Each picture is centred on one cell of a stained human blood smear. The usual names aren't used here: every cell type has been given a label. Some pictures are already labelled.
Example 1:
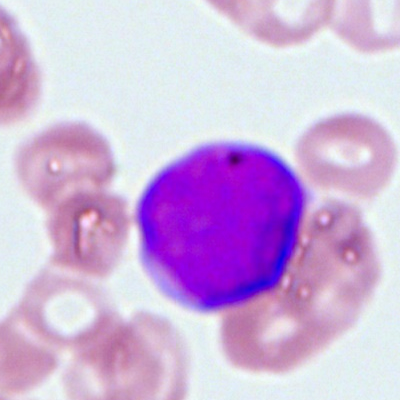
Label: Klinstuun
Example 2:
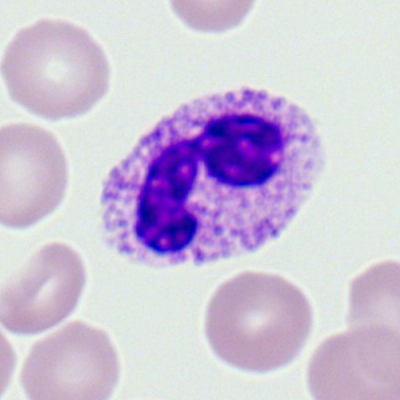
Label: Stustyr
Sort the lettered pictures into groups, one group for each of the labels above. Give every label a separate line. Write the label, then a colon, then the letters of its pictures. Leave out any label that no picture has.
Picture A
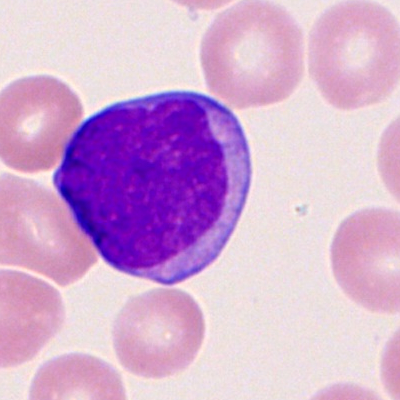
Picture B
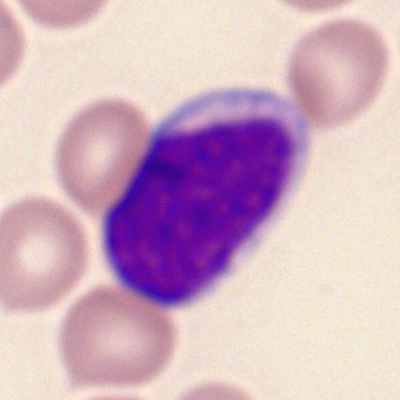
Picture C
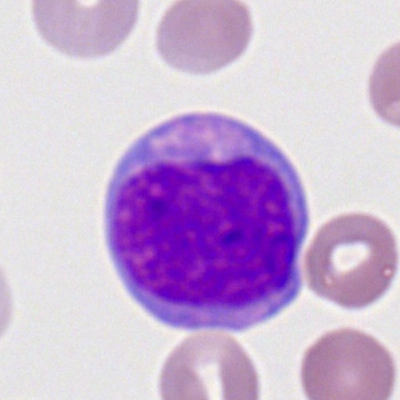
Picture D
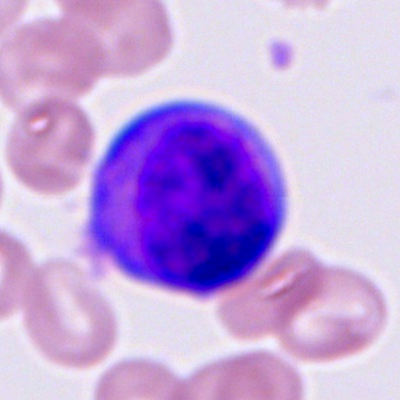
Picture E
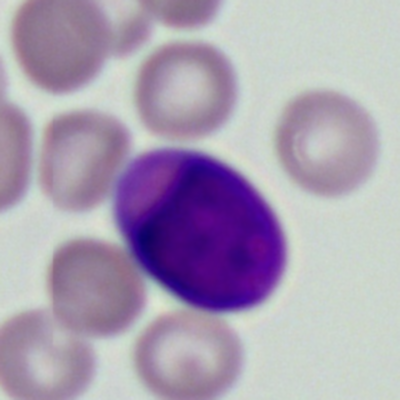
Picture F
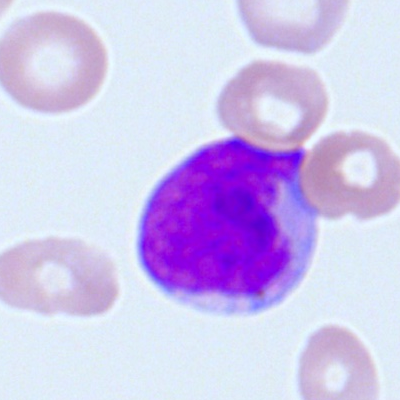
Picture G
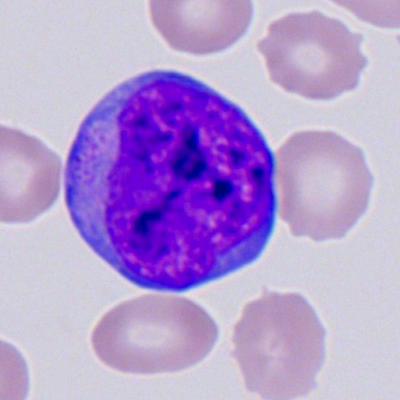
Klinstuun: A, B, C, D, E, F, G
